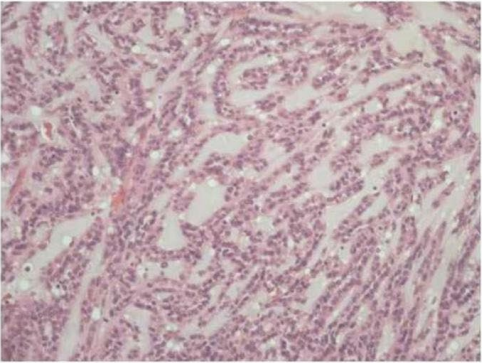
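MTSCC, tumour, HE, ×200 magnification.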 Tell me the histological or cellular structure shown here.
Mucinous stroma.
